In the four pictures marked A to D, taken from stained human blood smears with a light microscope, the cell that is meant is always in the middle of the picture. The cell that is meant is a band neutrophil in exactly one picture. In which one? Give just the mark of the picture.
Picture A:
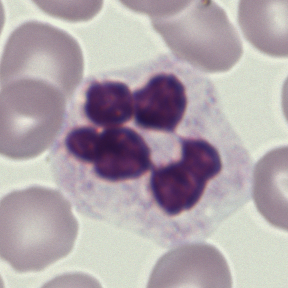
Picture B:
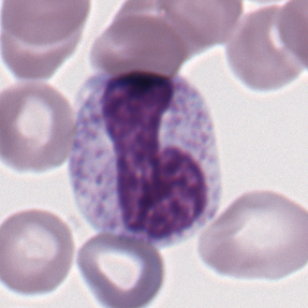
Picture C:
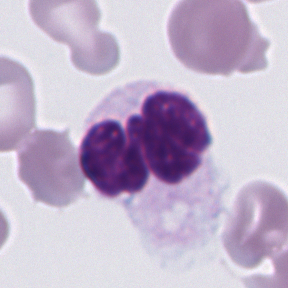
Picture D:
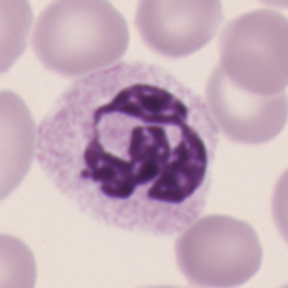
B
